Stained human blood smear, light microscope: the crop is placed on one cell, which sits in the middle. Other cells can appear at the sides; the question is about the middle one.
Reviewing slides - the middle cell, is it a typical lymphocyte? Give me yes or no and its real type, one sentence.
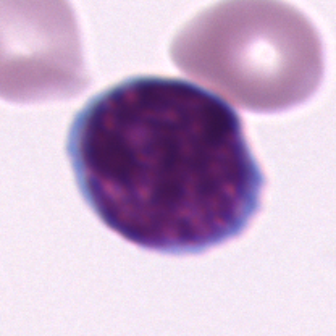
Yes, the cell at the centre of the field is a typical lymphocyte.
